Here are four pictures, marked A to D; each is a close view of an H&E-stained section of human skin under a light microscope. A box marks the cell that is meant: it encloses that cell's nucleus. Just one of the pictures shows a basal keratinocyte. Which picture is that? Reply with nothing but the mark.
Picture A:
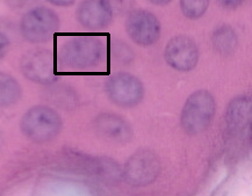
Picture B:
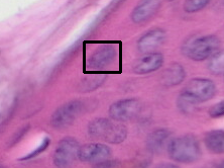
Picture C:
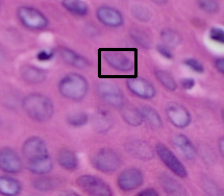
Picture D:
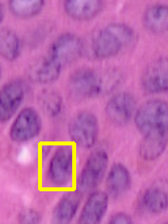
D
